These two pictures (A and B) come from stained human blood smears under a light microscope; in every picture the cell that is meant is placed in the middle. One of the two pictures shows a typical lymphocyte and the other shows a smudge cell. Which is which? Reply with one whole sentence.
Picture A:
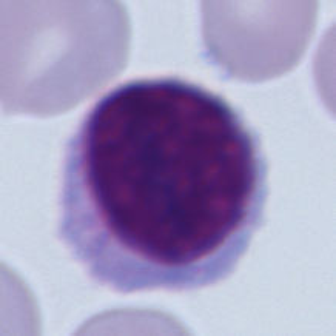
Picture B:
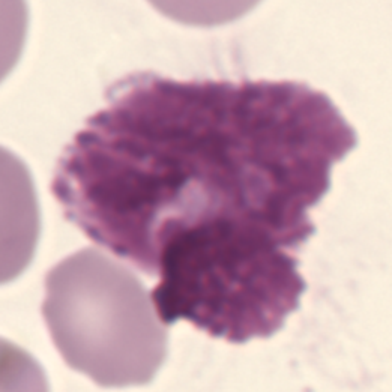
It is picture A that shows a typical lymphocyte, and picture B that shows a smudge cell.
